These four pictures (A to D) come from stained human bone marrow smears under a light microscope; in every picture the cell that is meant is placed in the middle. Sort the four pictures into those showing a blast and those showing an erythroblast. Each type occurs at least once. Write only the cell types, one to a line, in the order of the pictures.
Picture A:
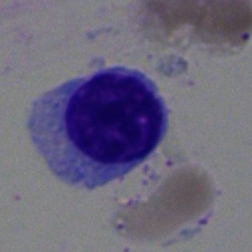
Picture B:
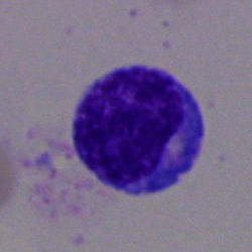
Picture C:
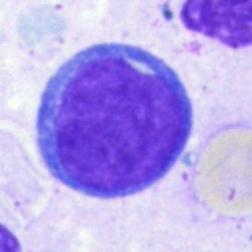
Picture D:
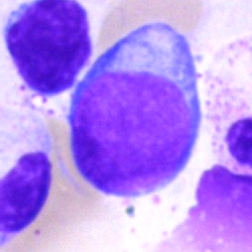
erythroblast
blast
blast
blast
